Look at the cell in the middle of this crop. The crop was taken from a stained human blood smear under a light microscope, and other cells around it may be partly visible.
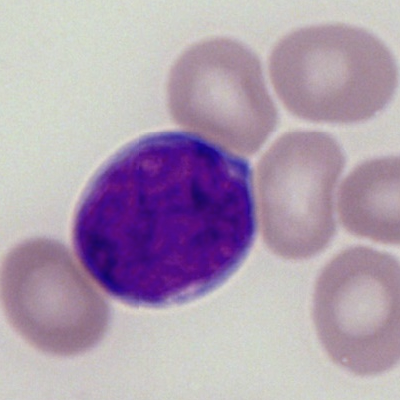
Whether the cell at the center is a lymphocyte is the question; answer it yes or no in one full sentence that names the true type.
No, it is a blast, not a lymphocyte, that lies at the centre of the crop.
